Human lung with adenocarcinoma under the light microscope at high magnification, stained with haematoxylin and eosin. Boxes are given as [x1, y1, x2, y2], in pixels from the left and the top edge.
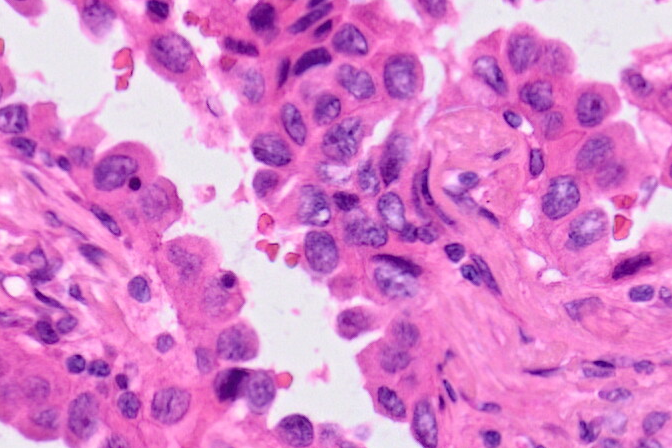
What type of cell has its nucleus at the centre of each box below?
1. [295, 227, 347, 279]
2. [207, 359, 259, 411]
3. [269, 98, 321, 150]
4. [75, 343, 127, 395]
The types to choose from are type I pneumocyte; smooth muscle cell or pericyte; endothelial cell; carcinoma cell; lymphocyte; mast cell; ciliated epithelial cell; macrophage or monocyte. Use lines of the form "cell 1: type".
cell 1: carcinoma cell
cell 2: carcinoma cell
cell 3: carcinoma cell
cell 4: lymphocyte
